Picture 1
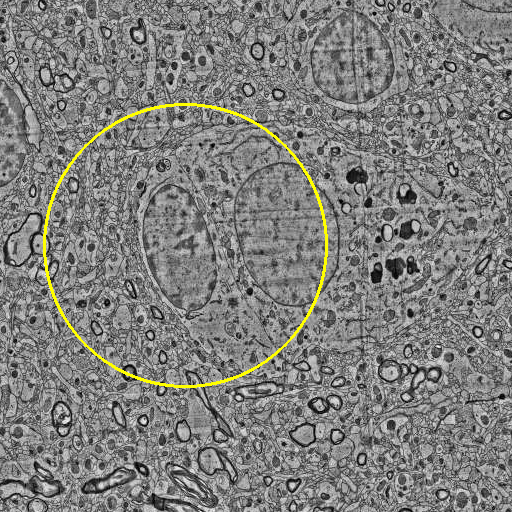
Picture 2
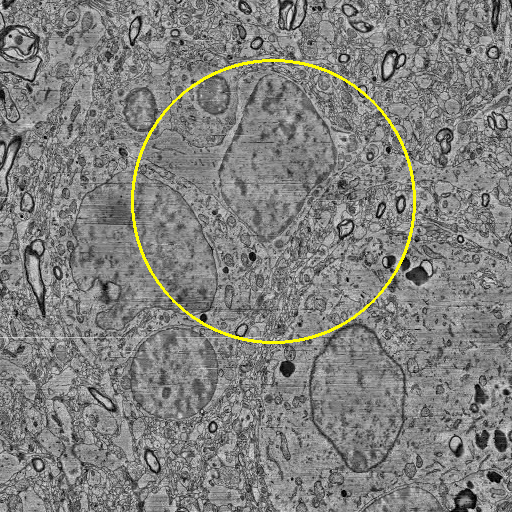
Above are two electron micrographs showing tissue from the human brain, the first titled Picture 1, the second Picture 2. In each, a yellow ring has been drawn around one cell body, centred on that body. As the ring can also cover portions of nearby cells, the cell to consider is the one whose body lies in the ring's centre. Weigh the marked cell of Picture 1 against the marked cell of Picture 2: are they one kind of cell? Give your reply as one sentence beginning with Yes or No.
Yes, the two cells sitting at the ring centres in the pictures are of one kind.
